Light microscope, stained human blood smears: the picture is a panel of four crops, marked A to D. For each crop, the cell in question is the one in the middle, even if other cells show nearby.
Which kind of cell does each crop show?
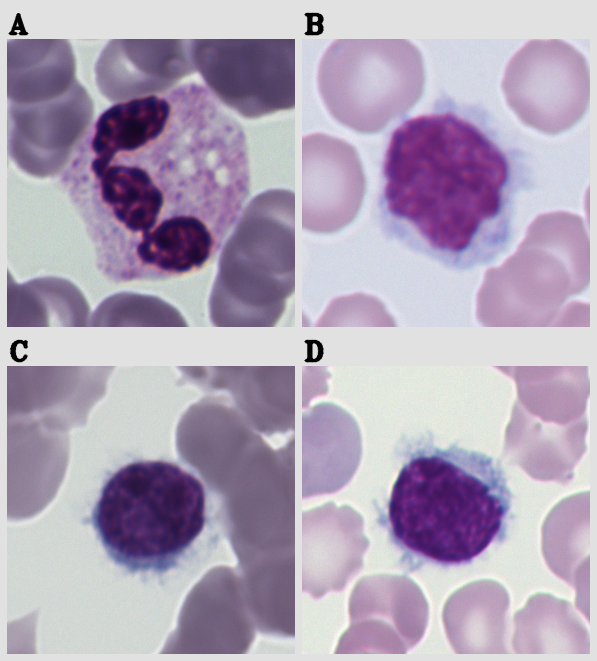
A: segmented neutrophil
B: hairy cell
C: hairy cell
D: hairy cell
